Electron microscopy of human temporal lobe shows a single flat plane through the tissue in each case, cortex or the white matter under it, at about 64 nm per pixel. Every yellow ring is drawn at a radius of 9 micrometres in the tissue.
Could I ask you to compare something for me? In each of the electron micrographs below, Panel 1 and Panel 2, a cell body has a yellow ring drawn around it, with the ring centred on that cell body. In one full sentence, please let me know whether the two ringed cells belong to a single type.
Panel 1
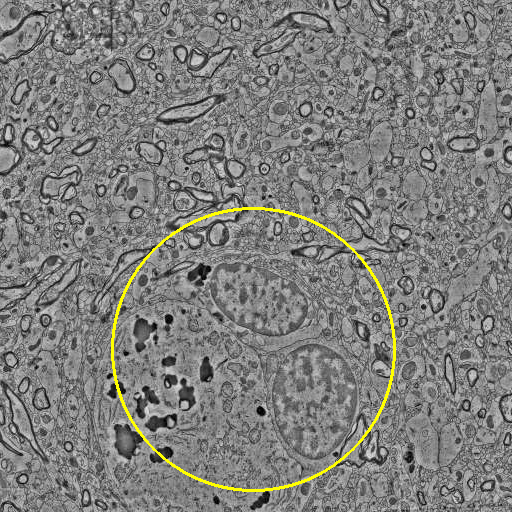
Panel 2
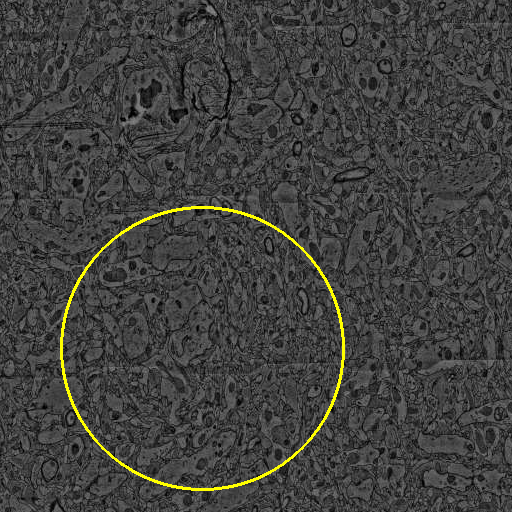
No, the two cells at the centres of the rings are of two types.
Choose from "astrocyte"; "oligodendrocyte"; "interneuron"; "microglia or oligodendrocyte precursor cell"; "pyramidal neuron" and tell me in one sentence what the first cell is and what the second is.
What the first ring is centred on is an oligodendrocyte; what the second ring is centred on is a pyramidal neuron.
